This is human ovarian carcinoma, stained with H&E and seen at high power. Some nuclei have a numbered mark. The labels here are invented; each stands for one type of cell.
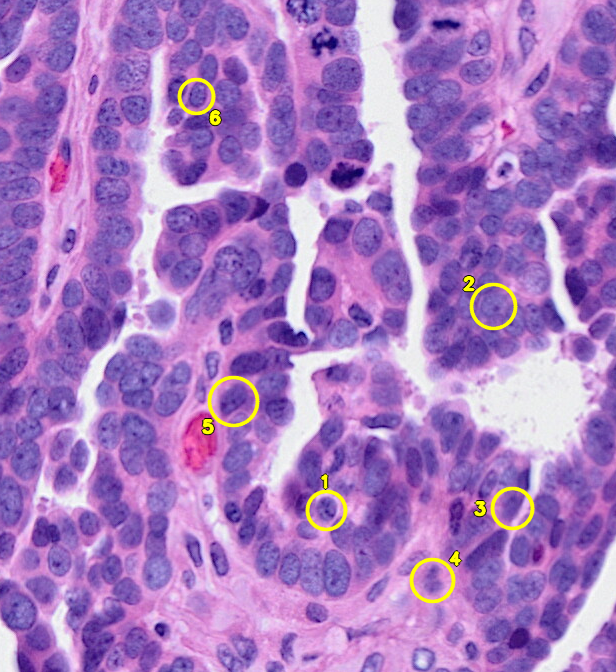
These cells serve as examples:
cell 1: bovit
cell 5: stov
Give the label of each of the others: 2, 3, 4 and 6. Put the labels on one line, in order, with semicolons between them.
stov; stov; bovit; stov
